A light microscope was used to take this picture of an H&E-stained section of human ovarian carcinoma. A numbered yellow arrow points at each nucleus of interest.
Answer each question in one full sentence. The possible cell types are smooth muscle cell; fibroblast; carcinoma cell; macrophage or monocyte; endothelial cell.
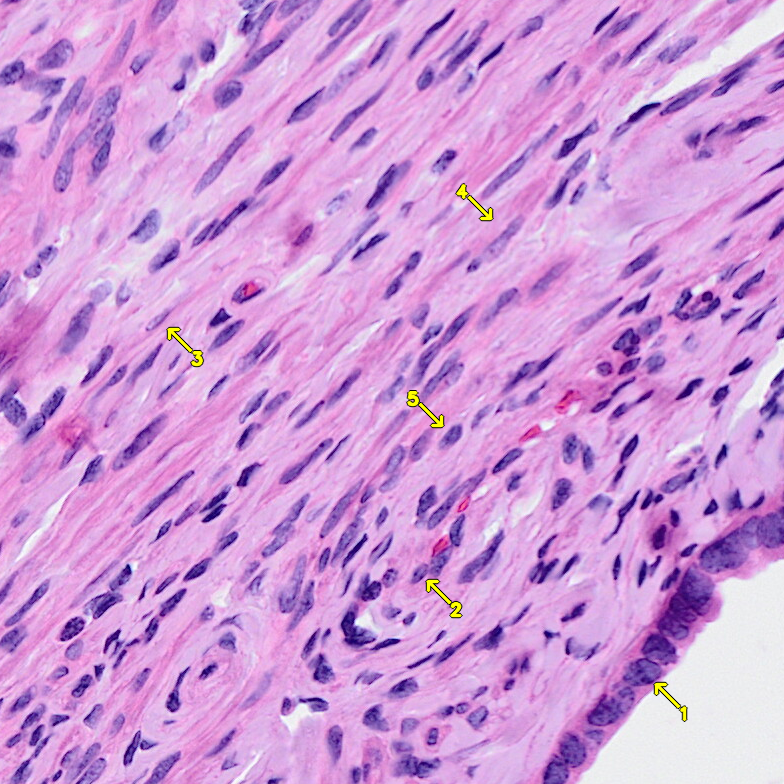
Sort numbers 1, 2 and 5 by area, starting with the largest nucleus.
The nuclei rank 1, 5, 2, from largest to smallest.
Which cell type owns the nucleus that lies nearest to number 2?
Closest to number 2 lies the nucleus of an endothelial cell.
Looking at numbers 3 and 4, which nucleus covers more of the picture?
Of the two, number 4 is bigger and takes up about 2.5 times the area of number 3.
